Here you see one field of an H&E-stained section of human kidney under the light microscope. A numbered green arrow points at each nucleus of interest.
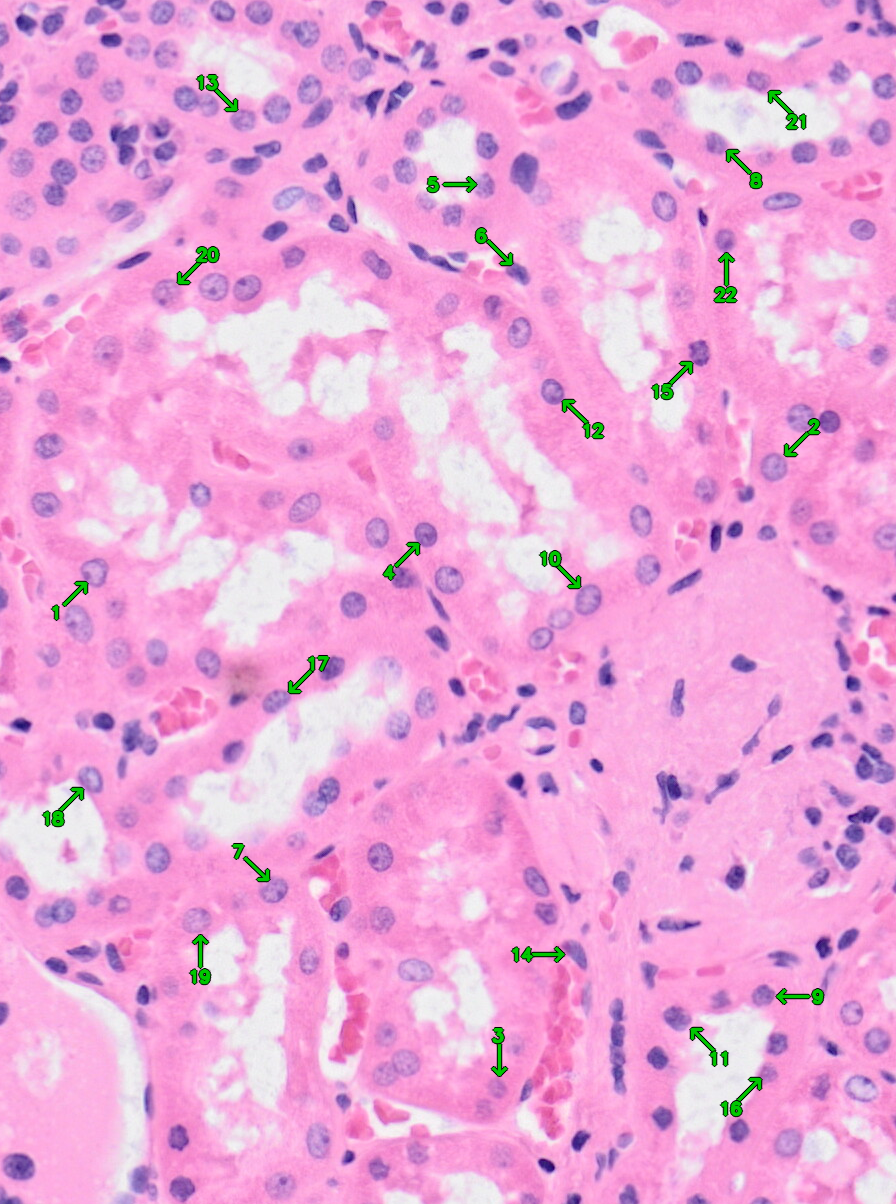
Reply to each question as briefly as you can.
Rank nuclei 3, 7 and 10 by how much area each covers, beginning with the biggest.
10, 7, 3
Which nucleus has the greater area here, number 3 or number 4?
4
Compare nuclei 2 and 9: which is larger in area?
2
